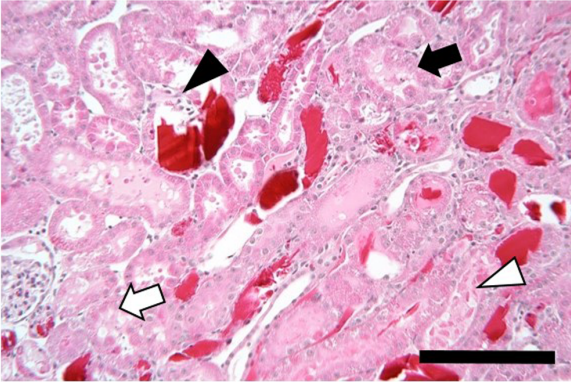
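This is kidney tissue with renal tubules showing widespread damage, and a glomerulus at the left edge. Many tubule lumens are filled with solid, deep red casts that stand out sharply from the paler pink tissue. Some tubules are lined by swollen, pale epithelial cells that narrow the lumen, and others have cleared, vacuolated cytoplasm. In places the lining is broken up, with fragmented cells and lost nuclei, and cell material has come away from the tubule wall into the lumen. Compared with an orderly tubule field, the architecture here is disrupted and irregular.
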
